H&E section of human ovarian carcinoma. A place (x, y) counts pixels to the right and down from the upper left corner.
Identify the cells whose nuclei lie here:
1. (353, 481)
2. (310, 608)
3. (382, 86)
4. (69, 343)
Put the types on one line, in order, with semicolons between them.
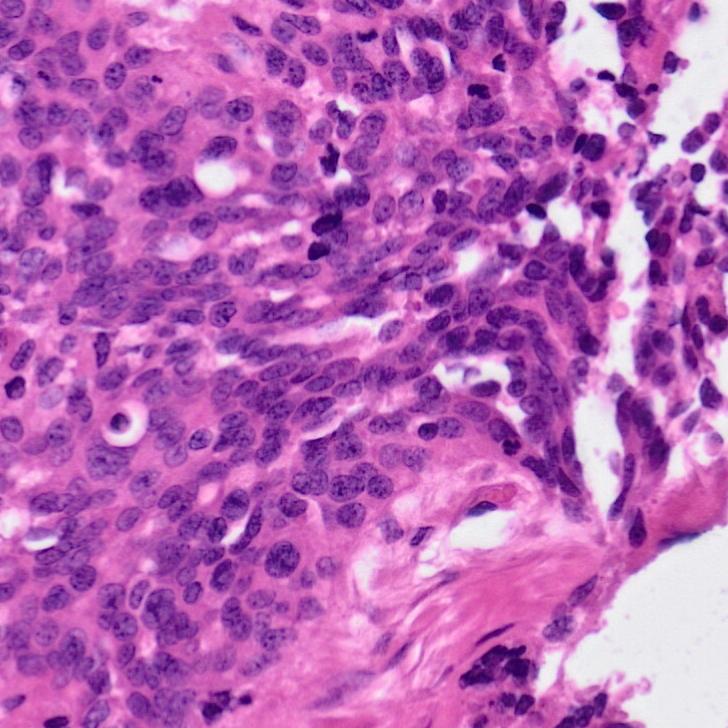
carcinoma cell; carcinoma cell; carcinoma cell; macrophage or monocyte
